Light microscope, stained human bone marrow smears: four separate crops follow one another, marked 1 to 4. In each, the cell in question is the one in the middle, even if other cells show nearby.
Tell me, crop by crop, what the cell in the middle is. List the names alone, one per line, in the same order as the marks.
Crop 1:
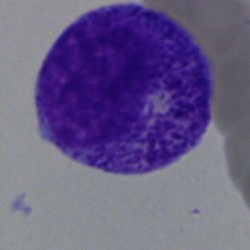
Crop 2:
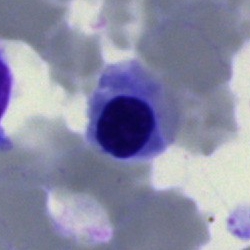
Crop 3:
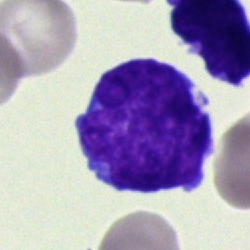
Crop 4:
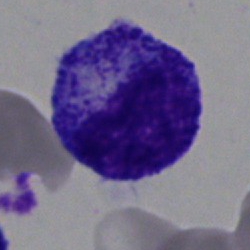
myelocyte
normoblast
blast
promyelocyte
